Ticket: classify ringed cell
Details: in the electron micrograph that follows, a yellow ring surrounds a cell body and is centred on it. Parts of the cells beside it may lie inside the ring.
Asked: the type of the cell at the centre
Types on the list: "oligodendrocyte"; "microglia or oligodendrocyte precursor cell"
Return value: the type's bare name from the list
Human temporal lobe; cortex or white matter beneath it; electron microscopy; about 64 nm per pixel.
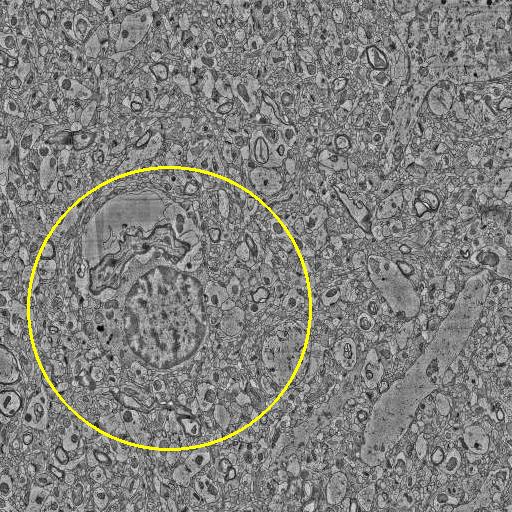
oligodendrocyte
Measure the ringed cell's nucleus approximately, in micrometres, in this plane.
The nucleus has a long axis of about 6 micrometres and a short axis of about 5 micrometres in this plane.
